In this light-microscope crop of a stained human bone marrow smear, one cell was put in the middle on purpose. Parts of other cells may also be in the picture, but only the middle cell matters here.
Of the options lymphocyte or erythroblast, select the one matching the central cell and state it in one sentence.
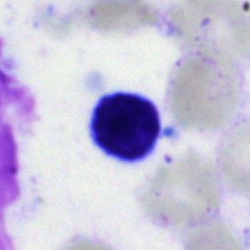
The middle cell in this particular crop is a lymphocyte.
